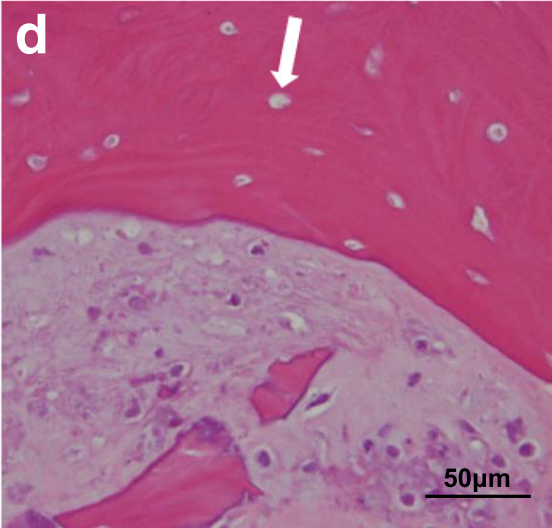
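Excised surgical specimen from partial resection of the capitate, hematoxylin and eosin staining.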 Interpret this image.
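Bone with dense pink lamellar matrix occupying the upper part of the field, with scattered small oval lacunae that appear clear and lack dark purple nuclei. Below it lies a pale, loosely textured tissue containing scattered small purple-staining nuclei. Small pink fragments of bone lie within this paler tissue. The border between the pink matrix and the pale tissue is smooth and gently curved.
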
